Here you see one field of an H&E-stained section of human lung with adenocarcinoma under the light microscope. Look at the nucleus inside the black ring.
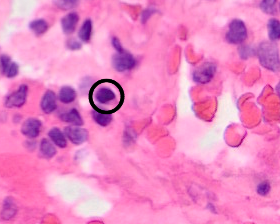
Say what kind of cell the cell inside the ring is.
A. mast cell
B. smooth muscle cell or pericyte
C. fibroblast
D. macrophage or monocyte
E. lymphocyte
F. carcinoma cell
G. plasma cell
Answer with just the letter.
E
